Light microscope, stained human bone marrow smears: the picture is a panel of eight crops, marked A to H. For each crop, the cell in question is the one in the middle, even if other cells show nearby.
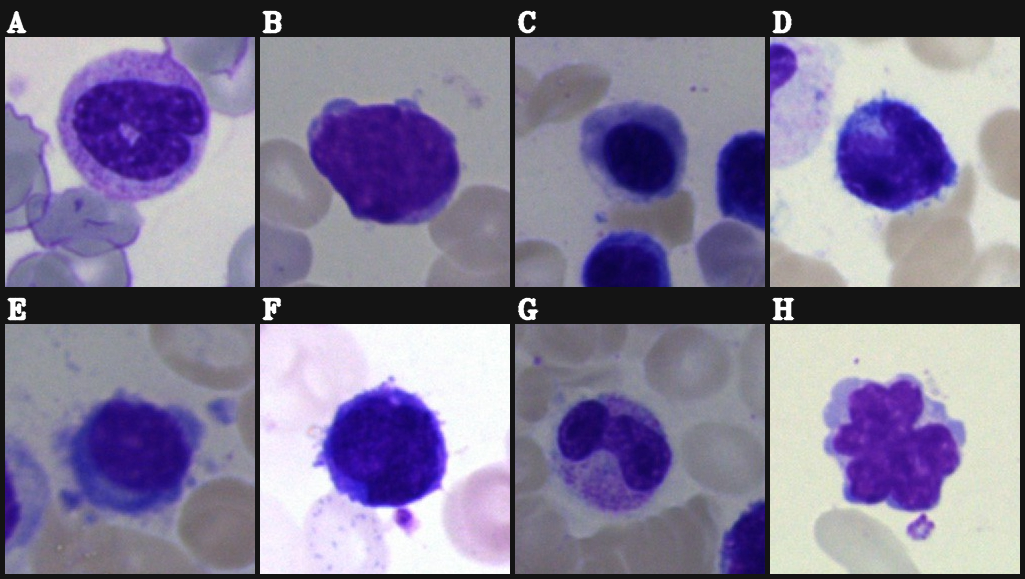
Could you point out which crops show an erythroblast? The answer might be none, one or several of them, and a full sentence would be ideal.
In short, an erythroblast is shown in crop C only.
